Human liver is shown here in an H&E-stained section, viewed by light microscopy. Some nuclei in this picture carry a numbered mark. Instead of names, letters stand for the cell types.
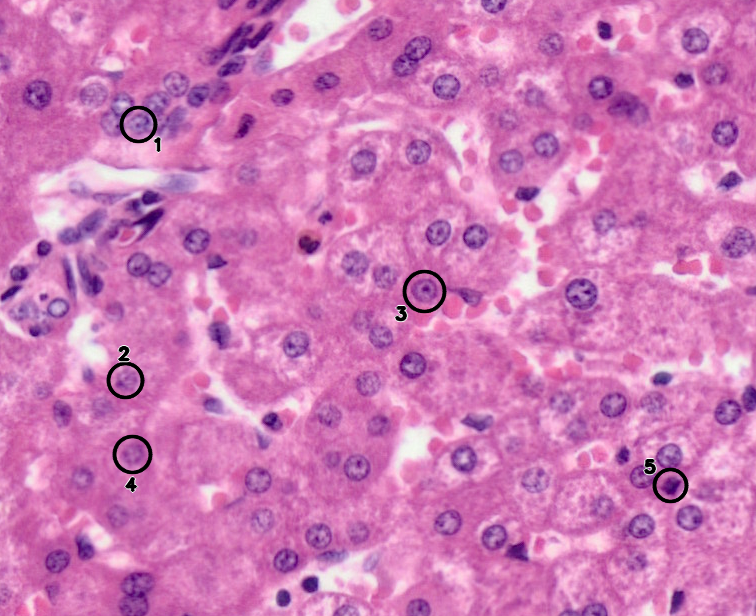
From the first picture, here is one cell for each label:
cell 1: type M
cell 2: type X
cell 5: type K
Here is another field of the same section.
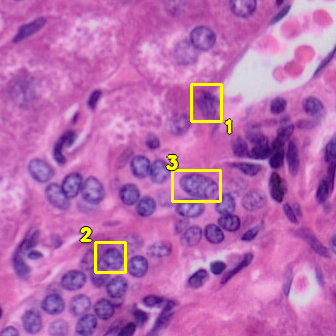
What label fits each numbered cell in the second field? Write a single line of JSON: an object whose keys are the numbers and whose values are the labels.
{"1": "type K", "2": "type M", "3": "type M"}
